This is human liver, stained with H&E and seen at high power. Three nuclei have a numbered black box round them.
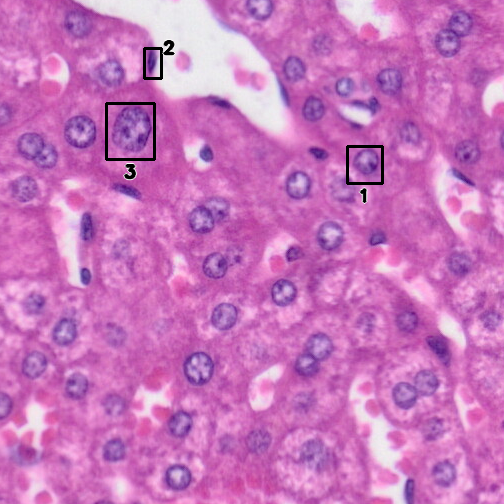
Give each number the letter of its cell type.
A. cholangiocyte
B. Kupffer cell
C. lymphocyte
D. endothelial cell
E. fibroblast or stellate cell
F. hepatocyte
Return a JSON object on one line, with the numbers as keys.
{"1": "F", "2": "E", "3": "F"}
